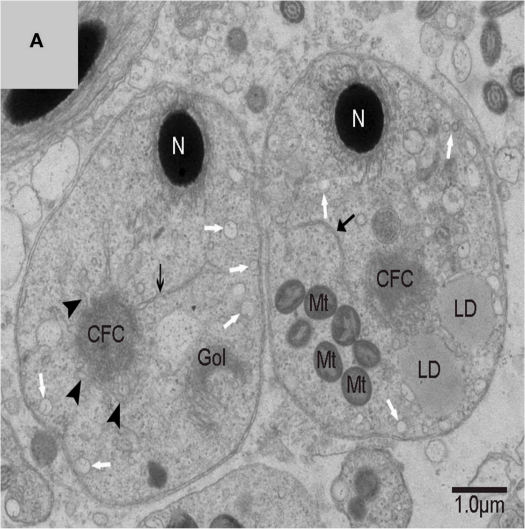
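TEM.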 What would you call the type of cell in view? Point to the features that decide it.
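Spermatids. Two rounded cells lie side by side, each with a small, very electron-dense oval nucleus. The cytoplasm holds rounded dense mitochondria and pale round droplets.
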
